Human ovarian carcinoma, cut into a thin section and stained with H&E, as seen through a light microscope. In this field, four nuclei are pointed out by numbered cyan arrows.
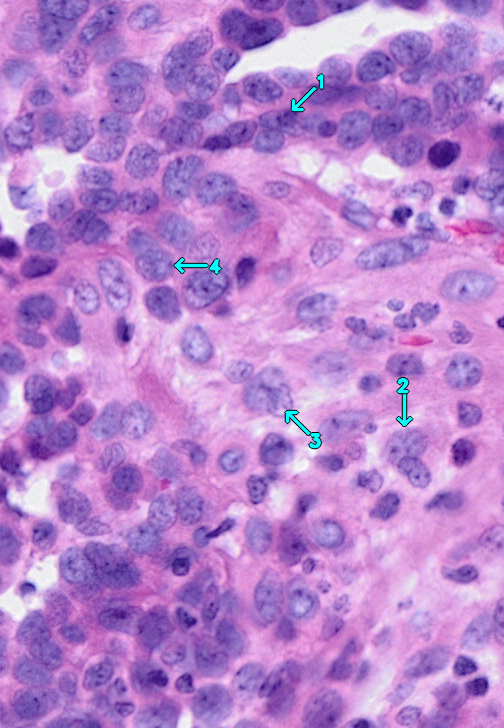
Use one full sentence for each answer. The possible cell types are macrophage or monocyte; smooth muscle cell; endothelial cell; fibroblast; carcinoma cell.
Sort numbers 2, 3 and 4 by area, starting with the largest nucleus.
Largest first, the order by area is 3, 2, 4.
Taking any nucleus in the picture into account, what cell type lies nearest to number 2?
The nearest nucleus to number 2 belongs to a macrophage or monocyte.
